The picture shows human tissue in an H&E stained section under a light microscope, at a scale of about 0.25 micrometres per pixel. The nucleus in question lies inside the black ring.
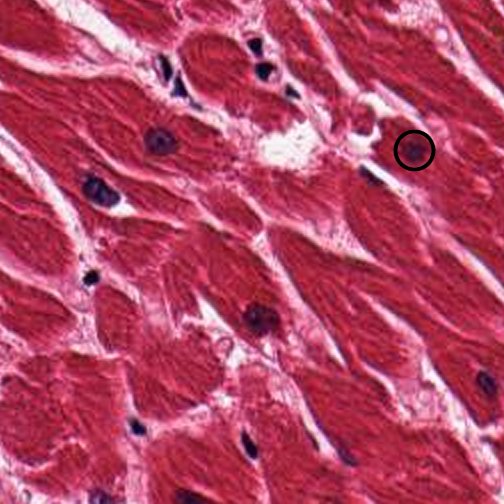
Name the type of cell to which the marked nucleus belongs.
cardiomyocyte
